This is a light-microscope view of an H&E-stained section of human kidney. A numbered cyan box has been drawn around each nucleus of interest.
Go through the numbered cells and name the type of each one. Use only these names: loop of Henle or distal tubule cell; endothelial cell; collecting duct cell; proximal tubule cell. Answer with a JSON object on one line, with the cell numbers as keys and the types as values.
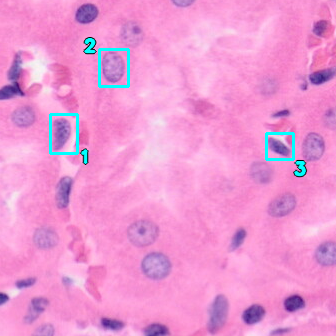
{"1": "endothelial cell", "2": "proximal tubule cell", "3": "endothelial cell"}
